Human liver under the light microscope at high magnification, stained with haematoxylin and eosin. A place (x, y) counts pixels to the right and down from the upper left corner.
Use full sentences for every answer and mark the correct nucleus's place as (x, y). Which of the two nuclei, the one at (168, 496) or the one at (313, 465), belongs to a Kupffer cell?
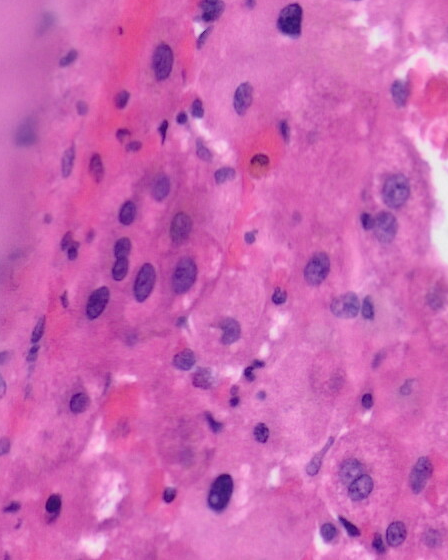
Of the pair, the nucleus positioned at (313, 465) is that of a Kupffer cell.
